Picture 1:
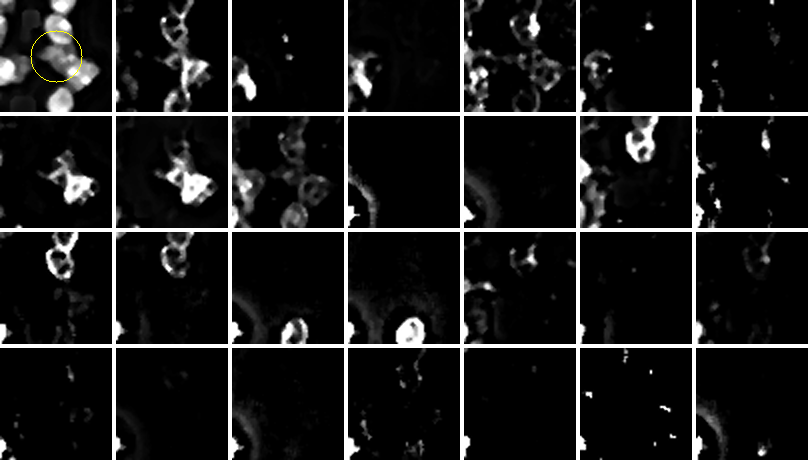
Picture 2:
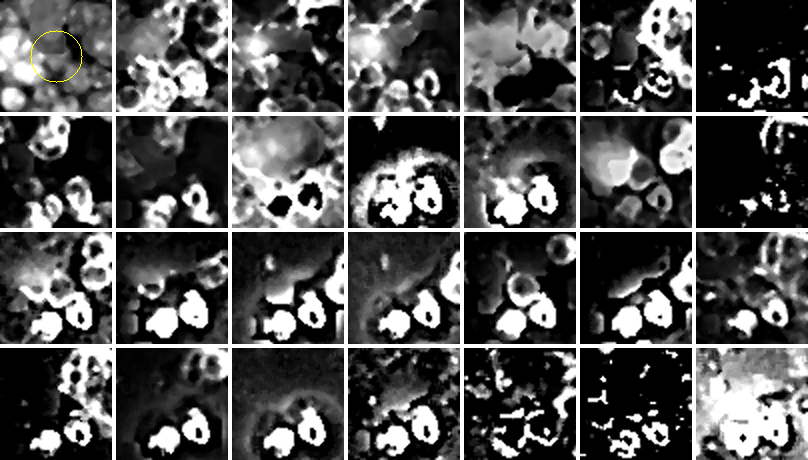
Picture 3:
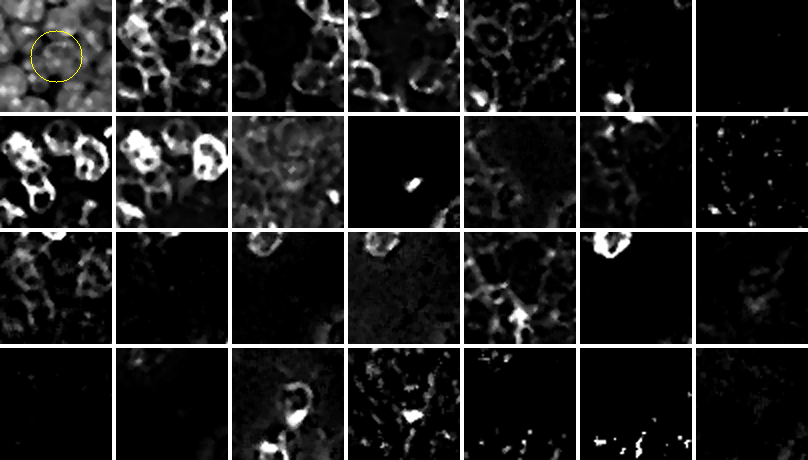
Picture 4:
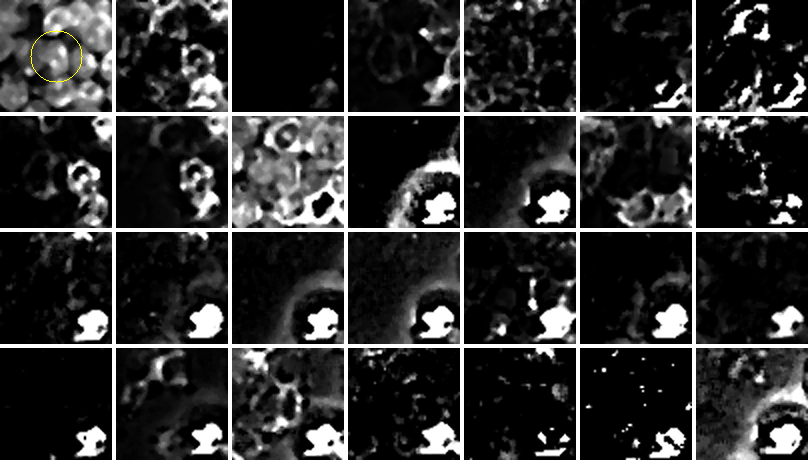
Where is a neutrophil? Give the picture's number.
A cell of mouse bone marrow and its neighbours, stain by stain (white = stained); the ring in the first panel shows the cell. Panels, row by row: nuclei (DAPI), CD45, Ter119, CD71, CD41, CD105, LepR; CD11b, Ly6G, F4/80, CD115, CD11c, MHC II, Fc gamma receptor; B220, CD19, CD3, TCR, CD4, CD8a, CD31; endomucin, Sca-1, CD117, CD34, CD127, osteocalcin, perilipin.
1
